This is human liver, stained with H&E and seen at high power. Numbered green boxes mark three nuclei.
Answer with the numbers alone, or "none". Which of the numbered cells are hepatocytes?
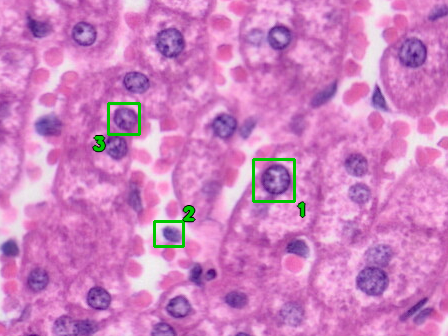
1, 3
